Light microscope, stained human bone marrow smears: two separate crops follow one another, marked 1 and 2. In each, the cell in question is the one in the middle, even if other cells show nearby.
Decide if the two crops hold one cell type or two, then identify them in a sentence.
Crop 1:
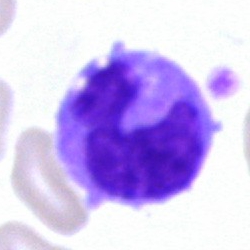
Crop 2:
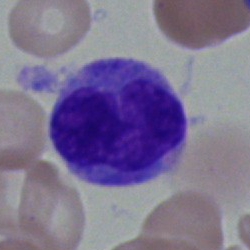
Yes, in short, both crops show monocytes.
